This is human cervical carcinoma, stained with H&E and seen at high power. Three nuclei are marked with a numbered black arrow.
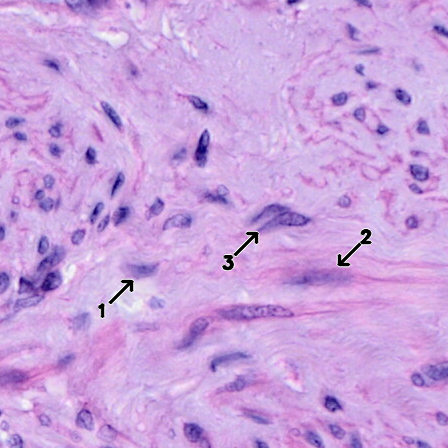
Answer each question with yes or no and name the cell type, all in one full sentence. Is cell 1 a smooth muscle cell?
No, number 1 does not mark a smooth muscle cell; it marks a fibroblast.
